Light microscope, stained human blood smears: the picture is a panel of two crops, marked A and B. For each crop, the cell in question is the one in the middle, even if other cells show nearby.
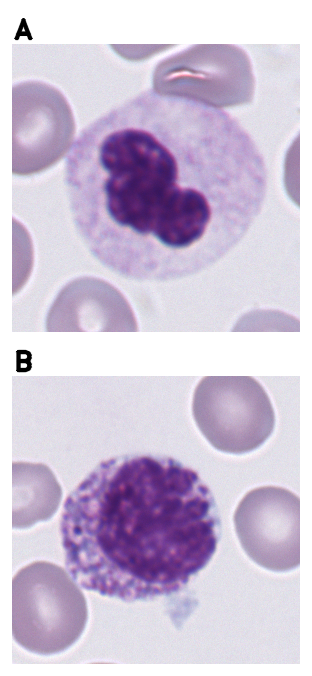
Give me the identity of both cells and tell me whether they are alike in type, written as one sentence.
No, in crop A the cell is a segmented neutrophil, and in crop B it is a basophil.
